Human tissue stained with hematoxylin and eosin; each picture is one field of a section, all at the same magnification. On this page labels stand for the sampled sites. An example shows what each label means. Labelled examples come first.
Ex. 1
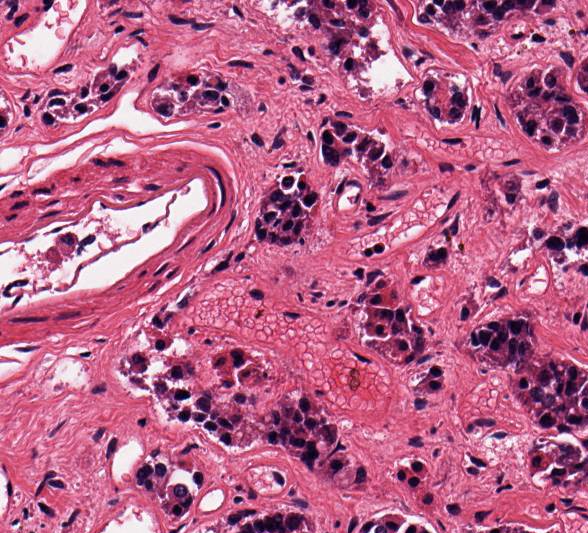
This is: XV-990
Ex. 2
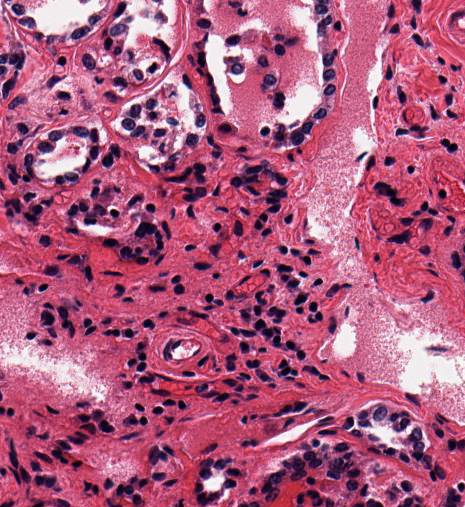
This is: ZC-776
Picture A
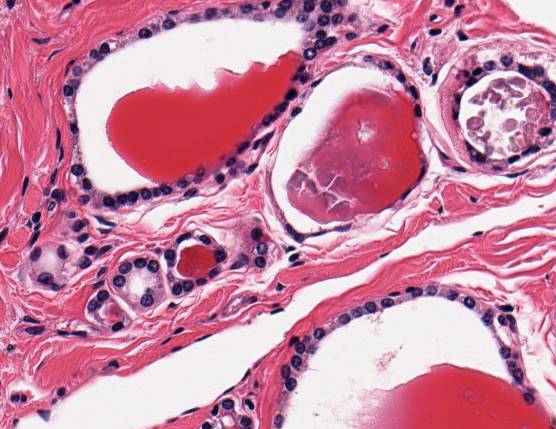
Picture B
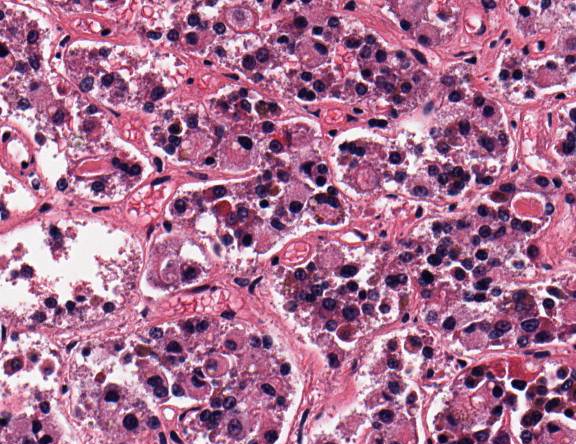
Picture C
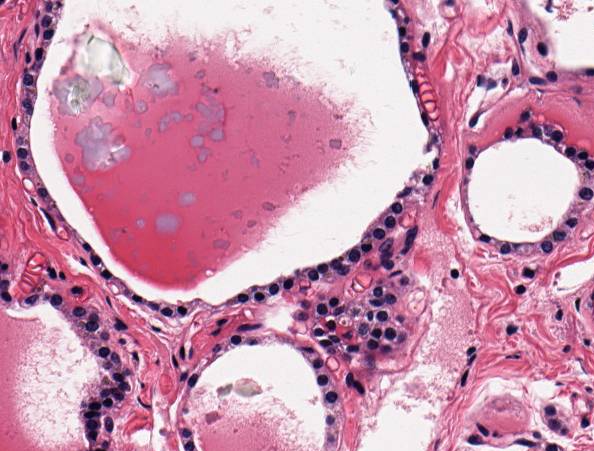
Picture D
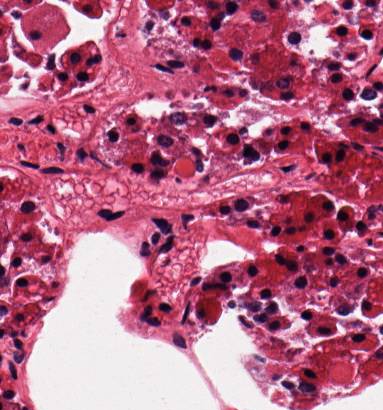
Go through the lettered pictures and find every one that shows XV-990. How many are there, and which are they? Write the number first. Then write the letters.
2: B, D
